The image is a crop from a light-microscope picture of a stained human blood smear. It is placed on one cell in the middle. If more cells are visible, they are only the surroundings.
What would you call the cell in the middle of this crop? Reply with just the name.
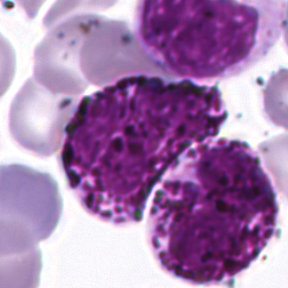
basophil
